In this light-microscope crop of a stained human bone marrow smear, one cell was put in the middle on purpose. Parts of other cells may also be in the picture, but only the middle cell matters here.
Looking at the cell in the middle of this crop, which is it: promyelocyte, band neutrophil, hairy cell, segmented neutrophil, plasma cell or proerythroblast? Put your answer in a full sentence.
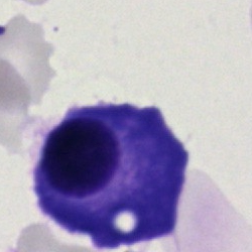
The cell shown in the center of this light-microscope crop is a plasma cell.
